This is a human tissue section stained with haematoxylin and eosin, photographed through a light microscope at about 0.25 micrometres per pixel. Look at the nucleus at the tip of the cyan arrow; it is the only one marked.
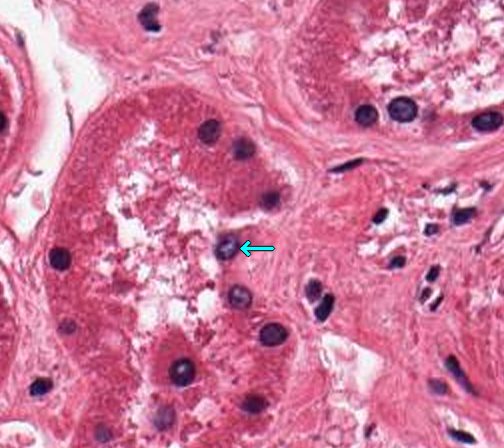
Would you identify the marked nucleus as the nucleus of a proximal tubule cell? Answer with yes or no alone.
yes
